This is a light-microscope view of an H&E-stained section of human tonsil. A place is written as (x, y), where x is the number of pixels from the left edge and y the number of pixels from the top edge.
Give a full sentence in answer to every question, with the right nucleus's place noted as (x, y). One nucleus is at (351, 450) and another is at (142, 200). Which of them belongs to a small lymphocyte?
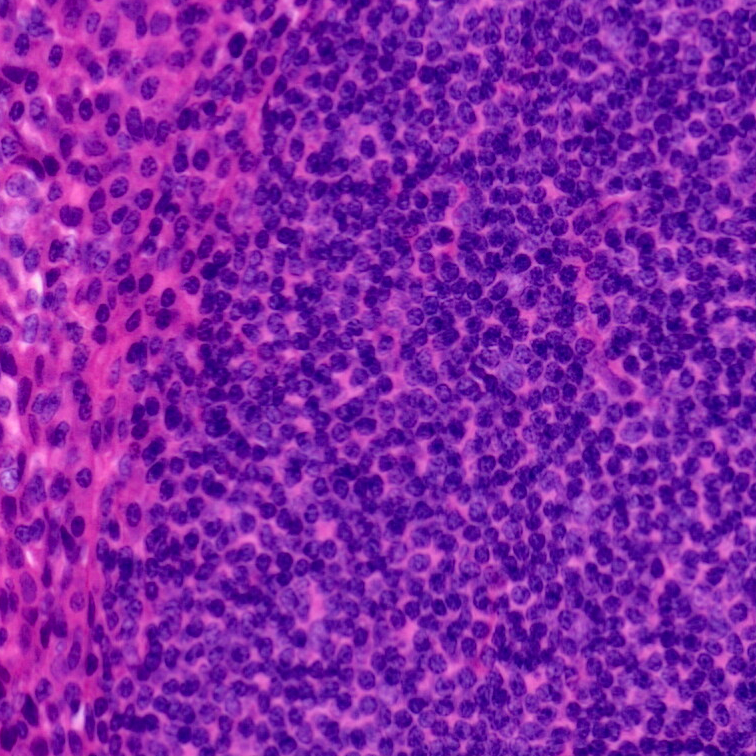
The nucleus at (351, 450) is attributed to a small lymphocyte, unlike the other nucleus.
